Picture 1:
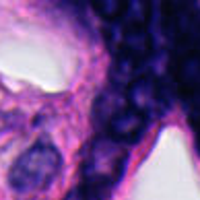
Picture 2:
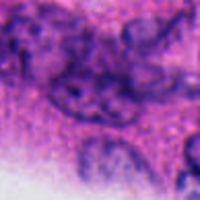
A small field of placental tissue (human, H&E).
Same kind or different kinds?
Different: the first is a syncytial knot, the second a cytotrophoblast.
